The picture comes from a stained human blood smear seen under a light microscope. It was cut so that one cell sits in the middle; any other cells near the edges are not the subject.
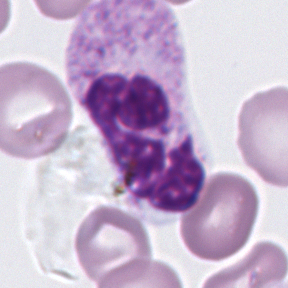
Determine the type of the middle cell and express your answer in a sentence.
The central cell, amid any neighbouring cells, is a segmented neutrophil.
